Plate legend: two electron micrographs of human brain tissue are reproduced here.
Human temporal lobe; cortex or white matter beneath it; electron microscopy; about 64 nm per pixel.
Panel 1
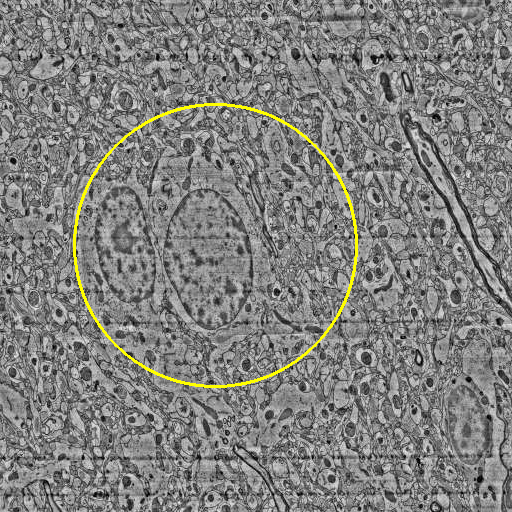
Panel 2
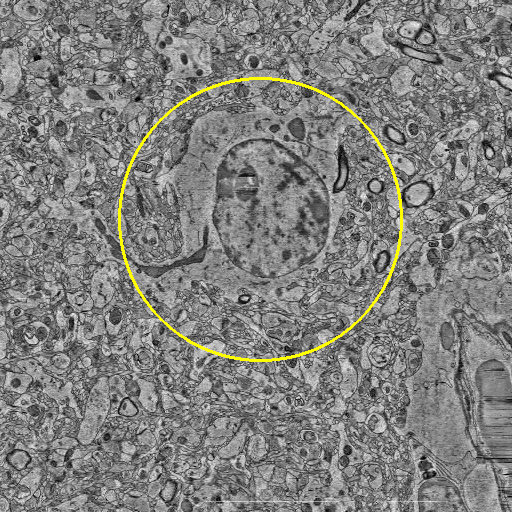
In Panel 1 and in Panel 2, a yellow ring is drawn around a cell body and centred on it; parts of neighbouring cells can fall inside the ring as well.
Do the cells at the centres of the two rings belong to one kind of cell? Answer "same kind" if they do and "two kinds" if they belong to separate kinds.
same kind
